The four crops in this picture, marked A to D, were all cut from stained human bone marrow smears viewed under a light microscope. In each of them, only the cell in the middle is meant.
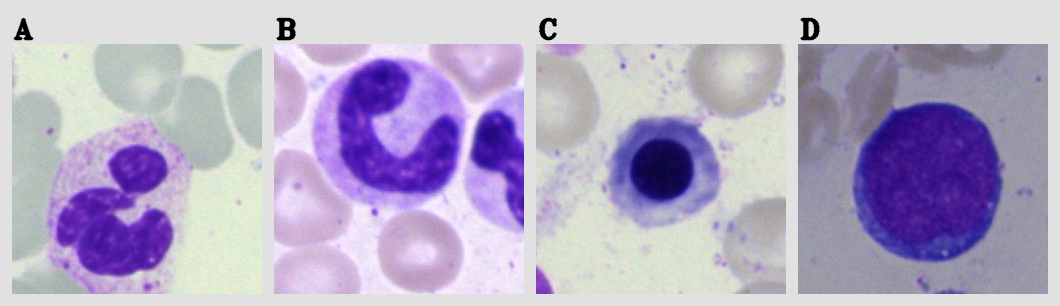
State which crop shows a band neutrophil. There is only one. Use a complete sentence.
Within this set, crop B is the one with a band neutrophil at its center.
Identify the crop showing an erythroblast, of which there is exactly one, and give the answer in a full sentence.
It is crop C, not any other, that shows an erythroblast.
